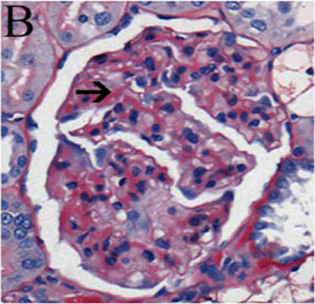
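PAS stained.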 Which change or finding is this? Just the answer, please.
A: mesangial matrix expansion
